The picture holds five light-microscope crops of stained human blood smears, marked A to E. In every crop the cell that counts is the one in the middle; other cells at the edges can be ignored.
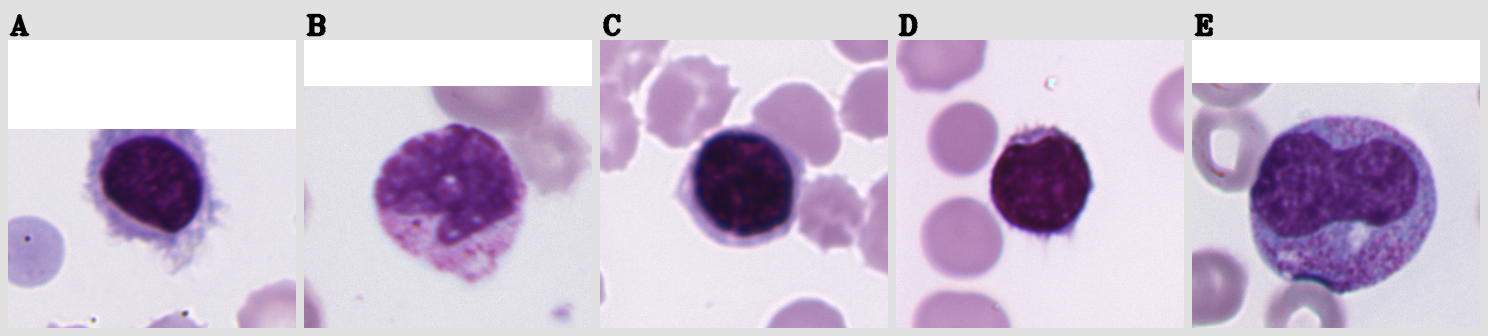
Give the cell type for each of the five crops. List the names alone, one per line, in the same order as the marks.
hairy cell
band neutrophil
normoblast
typical lymphocyte
promyelocyte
